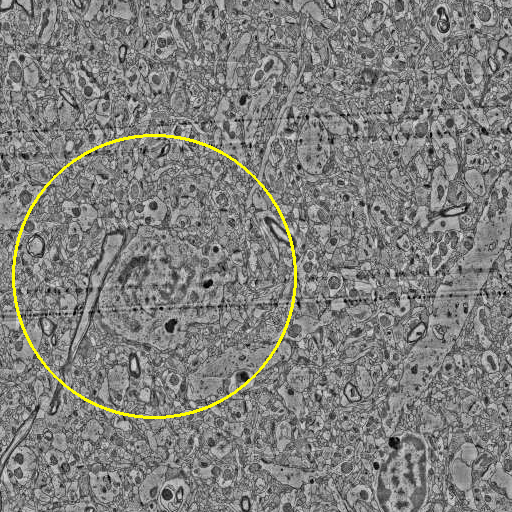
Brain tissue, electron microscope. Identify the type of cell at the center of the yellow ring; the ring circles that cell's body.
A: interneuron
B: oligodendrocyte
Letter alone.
A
